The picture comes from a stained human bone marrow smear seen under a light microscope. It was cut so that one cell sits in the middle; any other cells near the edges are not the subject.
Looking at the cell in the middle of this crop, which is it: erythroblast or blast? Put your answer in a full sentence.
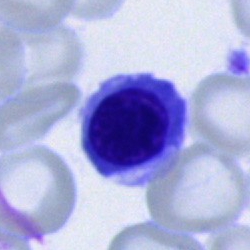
The cell found in the middle of this crop is an erythroblast.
